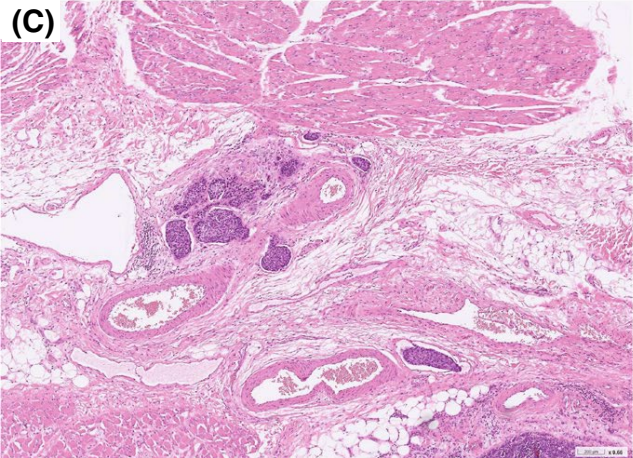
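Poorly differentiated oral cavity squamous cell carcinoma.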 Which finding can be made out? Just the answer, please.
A: Lymphatic invasion.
